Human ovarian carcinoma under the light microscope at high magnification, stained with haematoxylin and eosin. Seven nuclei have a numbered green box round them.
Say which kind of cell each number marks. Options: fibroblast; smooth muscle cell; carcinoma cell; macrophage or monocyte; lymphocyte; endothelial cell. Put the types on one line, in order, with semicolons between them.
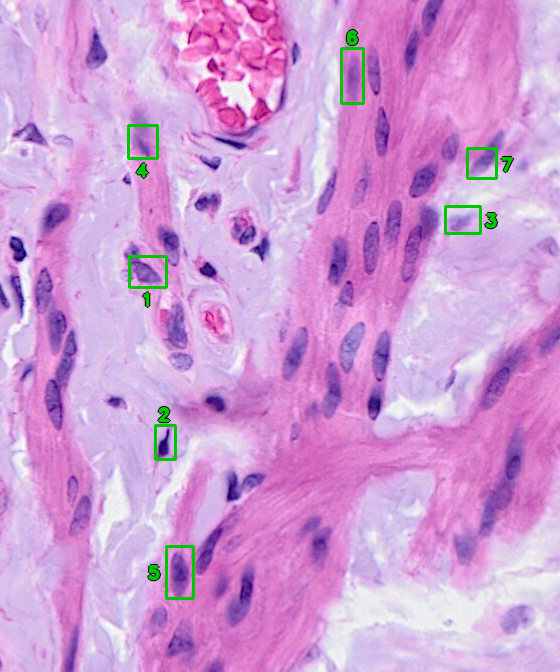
endothelial cell; fibroblast; fibroblast; smooth muscle cell; smooth muscle cell; smooth muscle cell; smooth muscle cell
